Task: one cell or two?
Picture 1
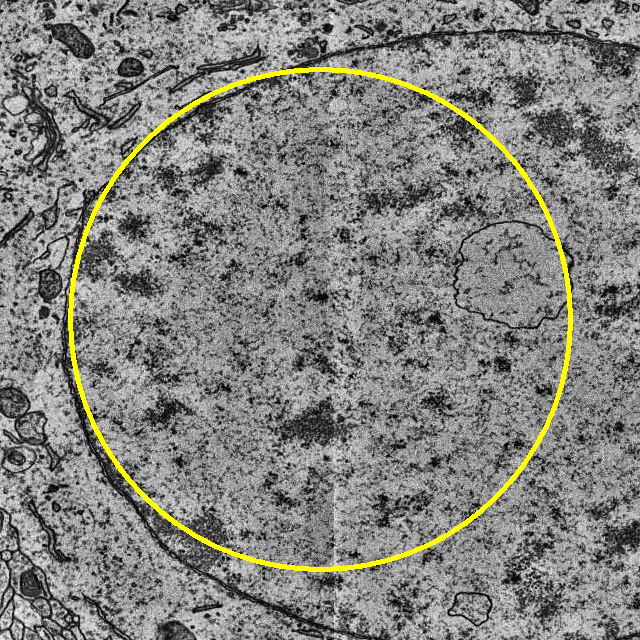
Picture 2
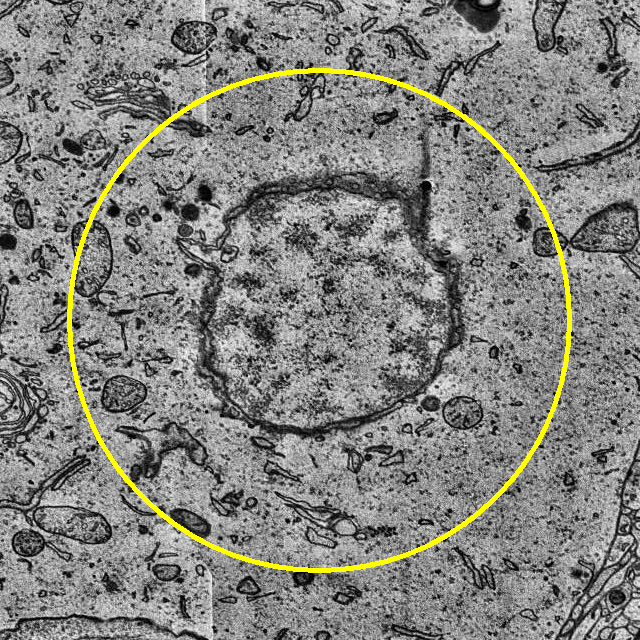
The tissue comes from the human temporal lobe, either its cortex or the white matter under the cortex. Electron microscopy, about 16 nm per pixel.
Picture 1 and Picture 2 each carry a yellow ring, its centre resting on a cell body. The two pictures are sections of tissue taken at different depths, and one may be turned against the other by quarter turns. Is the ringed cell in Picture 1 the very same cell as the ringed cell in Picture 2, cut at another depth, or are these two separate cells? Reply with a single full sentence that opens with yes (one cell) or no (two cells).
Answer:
No, the two circled cells are distinct from one another.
